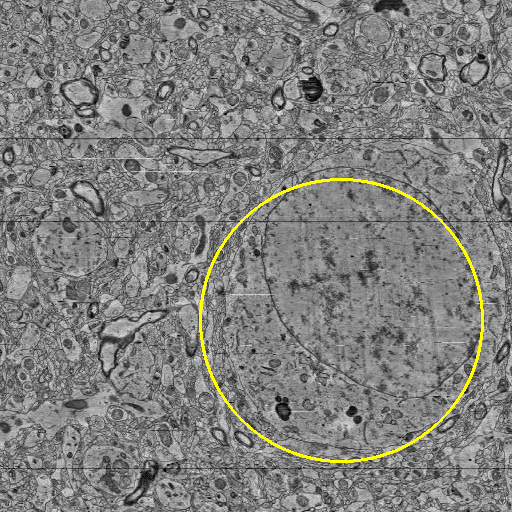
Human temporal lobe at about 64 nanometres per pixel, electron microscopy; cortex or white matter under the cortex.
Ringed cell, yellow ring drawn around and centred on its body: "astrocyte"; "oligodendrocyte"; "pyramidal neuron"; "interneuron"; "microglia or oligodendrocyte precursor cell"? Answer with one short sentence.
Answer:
This ringed cell is a pyramidal neuron.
